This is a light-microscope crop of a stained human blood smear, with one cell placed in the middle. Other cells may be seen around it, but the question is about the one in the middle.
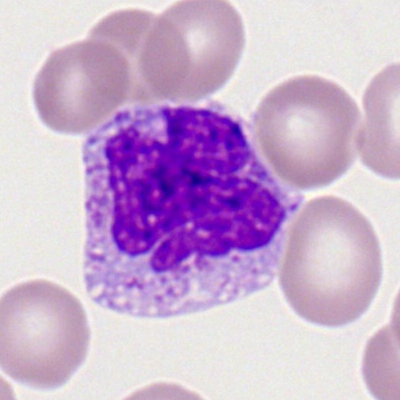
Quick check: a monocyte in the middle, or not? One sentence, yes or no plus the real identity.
Yes, the one cell at the centre is a monocyte.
